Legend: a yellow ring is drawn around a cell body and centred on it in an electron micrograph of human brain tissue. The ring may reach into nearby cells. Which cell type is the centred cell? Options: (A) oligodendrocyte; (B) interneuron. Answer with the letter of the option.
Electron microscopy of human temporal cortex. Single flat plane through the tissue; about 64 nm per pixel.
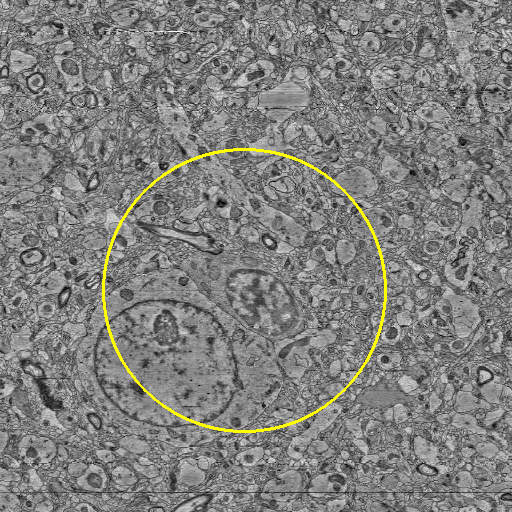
A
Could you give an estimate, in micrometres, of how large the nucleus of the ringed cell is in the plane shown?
Roughly 5 micrometres by 4 micrometres, in this plane.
